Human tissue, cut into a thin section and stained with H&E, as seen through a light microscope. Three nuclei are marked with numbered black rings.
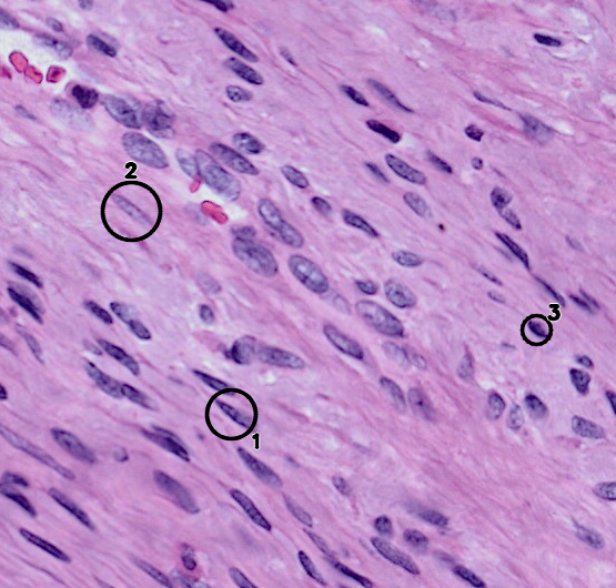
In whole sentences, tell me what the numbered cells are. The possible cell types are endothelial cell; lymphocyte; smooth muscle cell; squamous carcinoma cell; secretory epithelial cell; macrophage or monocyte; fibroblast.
Cell 1 is a fibroblast, cell 2 is a smooth muscle cell and cell 3 is a fibroblast.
